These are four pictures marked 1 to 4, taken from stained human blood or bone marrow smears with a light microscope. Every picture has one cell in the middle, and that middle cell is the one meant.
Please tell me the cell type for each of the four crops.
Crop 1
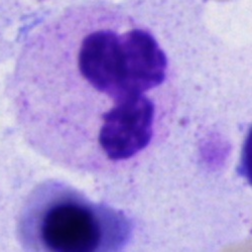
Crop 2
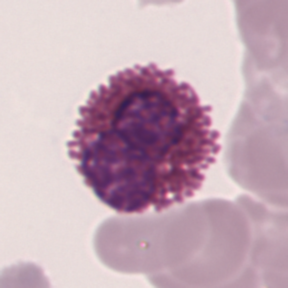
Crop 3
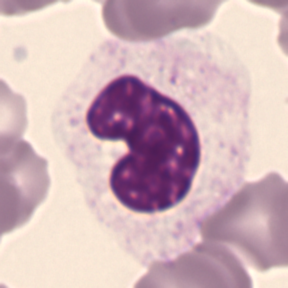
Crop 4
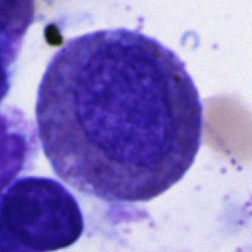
1: segmented neutrophil
2: eosinophil
3: band neutrophil
4: eosinophil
